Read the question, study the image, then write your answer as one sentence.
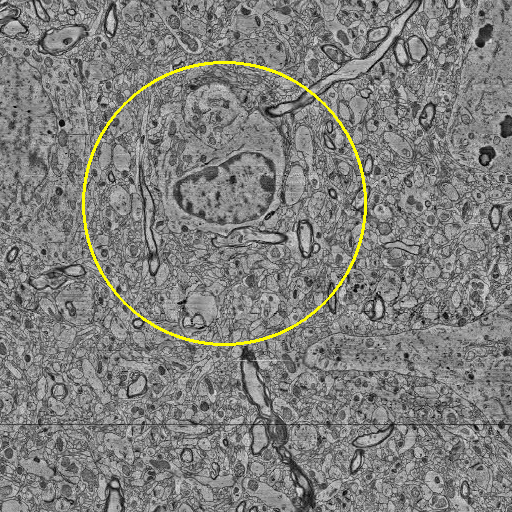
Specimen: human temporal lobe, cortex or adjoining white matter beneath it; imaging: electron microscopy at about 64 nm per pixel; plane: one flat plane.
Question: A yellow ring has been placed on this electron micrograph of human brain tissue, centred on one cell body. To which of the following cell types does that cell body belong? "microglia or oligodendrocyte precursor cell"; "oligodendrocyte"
That cell body belongs to a microglial cell or oligodendrocyte precursor cell.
